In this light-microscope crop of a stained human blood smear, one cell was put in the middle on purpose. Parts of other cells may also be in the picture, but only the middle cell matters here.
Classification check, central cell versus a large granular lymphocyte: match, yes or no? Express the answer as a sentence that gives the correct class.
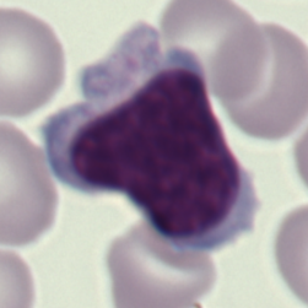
No, the centre of the crop contains a typical lymphocyte rather than a large granular lymphocyte.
